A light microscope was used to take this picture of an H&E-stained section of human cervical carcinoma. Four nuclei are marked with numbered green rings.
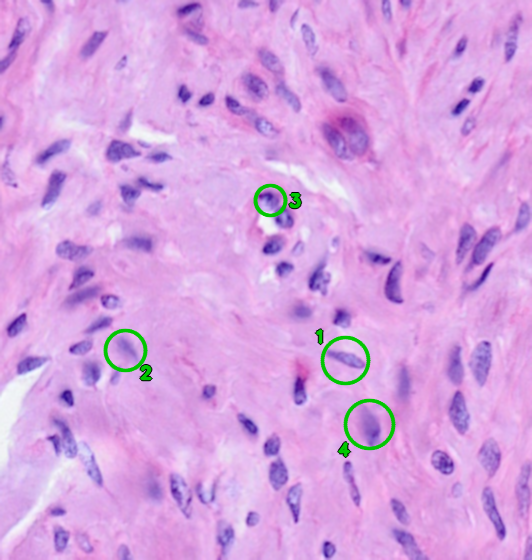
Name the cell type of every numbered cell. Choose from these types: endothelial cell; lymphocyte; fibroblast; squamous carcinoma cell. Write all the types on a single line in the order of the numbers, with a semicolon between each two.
fibroblast; fibroblast; endothelial cell; fibroblast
